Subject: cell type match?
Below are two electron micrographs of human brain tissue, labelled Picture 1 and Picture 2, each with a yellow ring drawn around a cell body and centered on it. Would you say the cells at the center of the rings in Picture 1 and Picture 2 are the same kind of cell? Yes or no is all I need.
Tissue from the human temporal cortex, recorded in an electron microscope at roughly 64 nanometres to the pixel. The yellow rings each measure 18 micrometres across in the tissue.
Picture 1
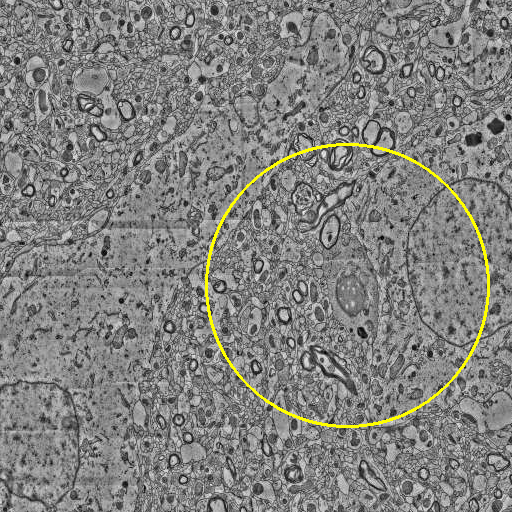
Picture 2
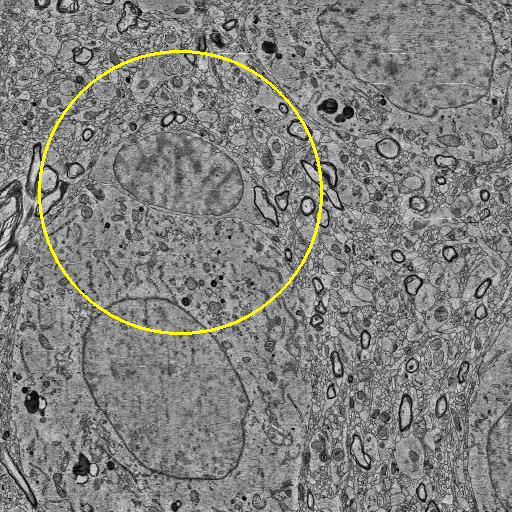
yes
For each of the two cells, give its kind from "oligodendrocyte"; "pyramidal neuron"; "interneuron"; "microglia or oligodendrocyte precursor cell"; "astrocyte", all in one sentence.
In the first picture and in the second, the ring is centred on an oligodendrocyte.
